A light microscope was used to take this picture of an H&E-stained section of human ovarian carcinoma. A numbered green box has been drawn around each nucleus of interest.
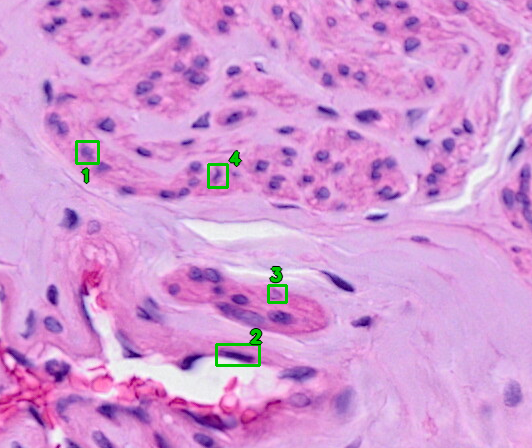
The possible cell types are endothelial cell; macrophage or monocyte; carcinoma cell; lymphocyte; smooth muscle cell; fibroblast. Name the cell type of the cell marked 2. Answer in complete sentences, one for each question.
Classified as an endothelial cell is the cell with the number 2.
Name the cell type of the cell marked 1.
The label 1 in this section denotes a smooth muscle cell.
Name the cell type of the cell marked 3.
As for number 3, that cell is a smooth muscle cell.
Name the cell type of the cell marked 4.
The cell numbered 4 represents a smooth muscle cell.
